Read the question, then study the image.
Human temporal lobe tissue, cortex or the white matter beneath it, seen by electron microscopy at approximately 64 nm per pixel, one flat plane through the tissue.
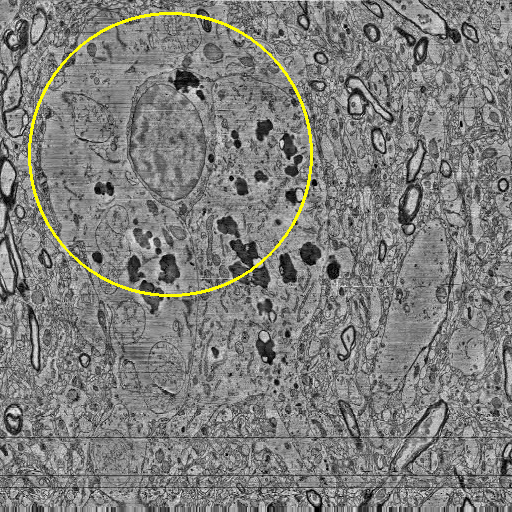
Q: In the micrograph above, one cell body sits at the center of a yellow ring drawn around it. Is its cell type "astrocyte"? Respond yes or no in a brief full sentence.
No, its cell type is another one.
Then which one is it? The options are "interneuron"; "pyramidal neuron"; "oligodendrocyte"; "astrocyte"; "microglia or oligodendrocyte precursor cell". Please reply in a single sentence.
The ring holds an oligodendrocyte at its centre.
